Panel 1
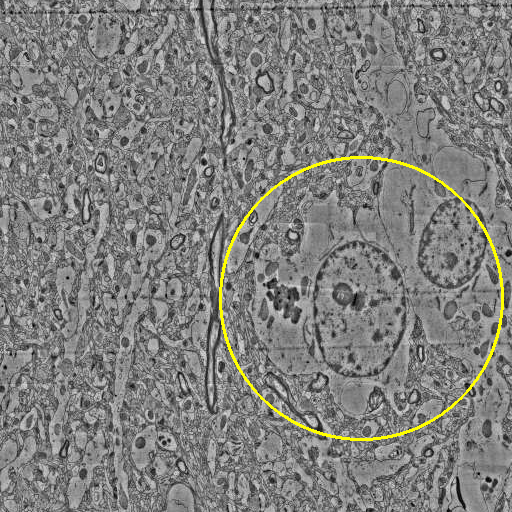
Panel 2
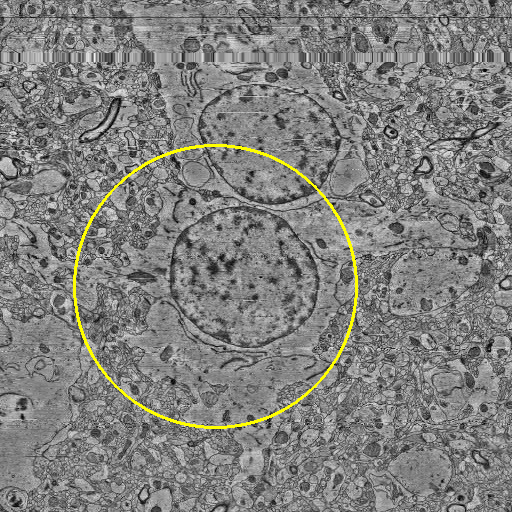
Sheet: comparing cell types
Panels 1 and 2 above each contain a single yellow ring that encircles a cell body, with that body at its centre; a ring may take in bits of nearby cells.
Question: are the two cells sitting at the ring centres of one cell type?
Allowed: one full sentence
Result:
Yes, the ring-centre cells in Panel 1 and Panel 2 are of one type.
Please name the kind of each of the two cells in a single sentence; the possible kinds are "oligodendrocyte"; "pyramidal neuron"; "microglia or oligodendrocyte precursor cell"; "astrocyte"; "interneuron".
The cell in the first picture is an astrocyte, and so is the one in the second.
